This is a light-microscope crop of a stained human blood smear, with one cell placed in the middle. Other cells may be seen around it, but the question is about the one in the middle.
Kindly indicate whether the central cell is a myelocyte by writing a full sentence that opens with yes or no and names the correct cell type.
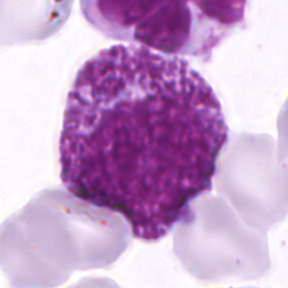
Yes, the cell at the midpoint of the crop is a myelocyte.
